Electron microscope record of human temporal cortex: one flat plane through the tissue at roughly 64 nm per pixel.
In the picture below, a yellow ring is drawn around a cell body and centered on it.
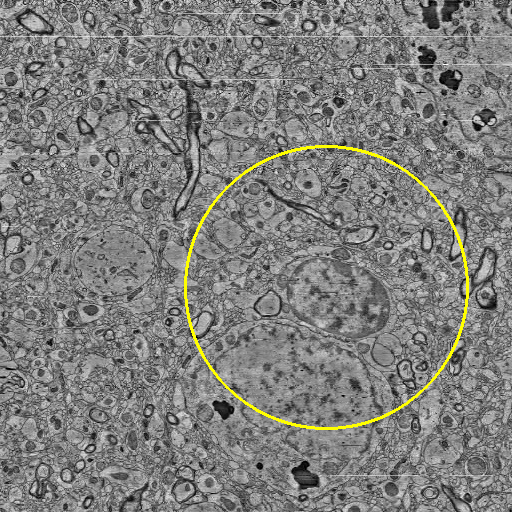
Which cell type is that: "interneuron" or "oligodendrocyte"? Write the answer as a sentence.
The cell centered in the ring is an oligodendrocyte.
